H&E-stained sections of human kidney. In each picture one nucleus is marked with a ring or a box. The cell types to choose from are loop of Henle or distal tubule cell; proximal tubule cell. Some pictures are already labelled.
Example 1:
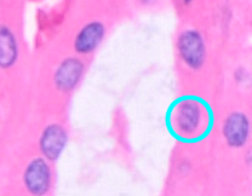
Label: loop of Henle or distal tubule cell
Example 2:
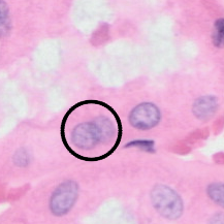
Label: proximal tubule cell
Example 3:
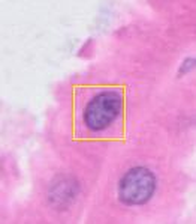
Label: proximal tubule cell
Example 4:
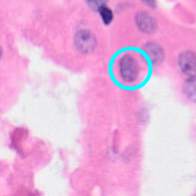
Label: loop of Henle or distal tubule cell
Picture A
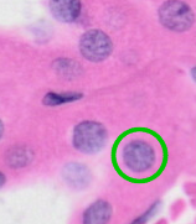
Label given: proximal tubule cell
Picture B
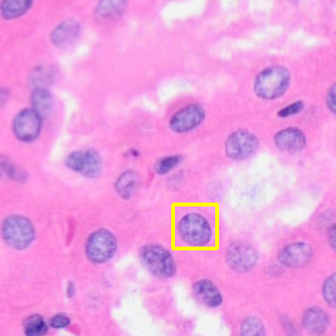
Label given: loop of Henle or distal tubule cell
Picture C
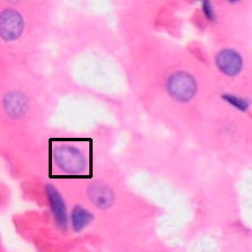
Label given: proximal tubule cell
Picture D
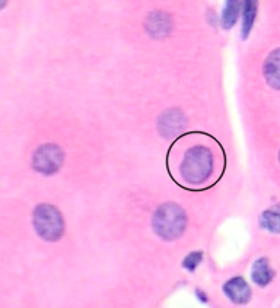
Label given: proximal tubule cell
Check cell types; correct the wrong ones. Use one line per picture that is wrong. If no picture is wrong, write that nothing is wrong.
Wrong: A (proximal tubule cell); correct: loop of Henle or distal tubule cell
